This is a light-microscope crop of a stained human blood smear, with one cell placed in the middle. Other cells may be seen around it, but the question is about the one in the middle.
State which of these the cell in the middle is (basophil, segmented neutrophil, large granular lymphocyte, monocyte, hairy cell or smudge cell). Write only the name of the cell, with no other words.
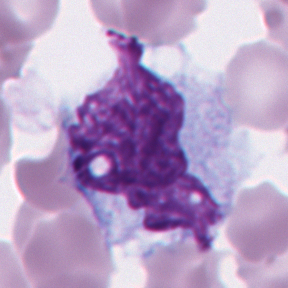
monocyte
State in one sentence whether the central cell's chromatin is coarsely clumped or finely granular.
You can see that its chromatin is coarsely clumped.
